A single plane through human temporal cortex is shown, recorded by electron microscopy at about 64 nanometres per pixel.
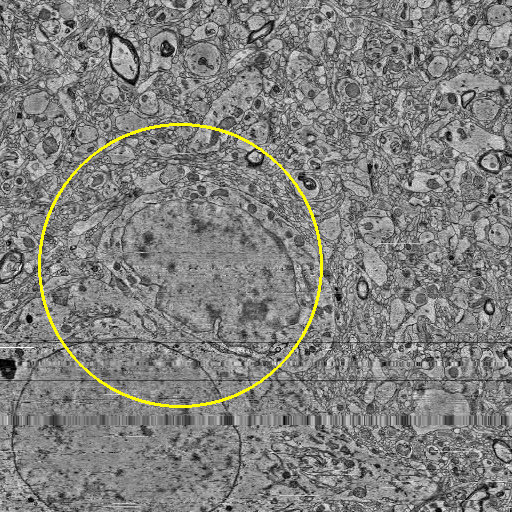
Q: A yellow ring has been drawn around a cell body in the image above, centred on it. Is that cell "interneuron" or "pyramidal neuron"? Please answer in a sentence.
The ring surrounds the cell body of an interneuron.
